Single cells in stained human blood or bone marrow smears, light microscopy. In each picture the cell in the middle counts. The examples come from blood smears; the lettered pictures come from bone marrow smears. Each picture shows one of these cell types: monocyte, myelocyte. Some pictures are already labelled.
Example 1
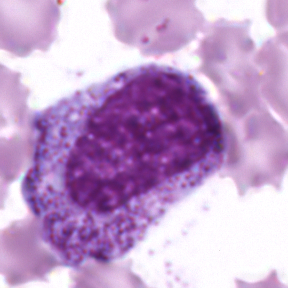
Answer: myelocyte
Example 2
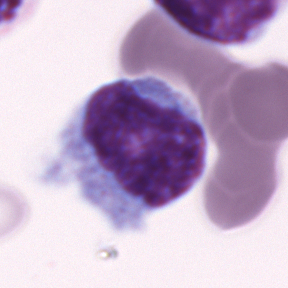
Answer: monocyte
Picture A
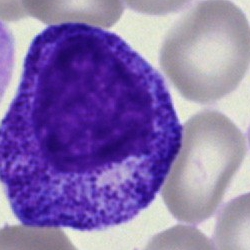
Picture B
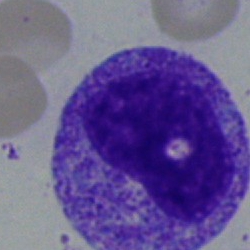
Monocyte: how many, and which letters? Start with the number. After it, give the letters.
0, none of them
